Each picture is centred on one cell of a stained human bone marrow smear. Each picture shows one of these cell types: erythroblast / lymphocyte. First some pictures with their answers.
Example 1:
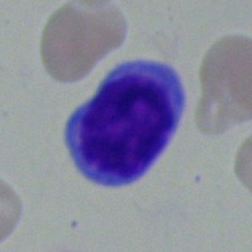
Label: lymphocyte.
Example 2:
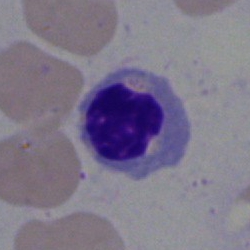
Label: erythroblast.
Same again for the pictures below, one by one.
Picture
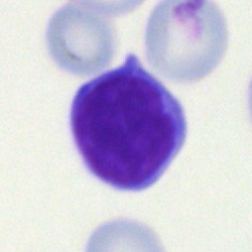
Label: lymphocyte.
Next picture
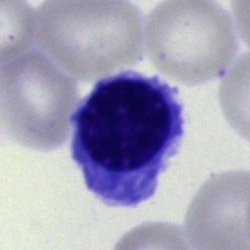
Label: erythroblast.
